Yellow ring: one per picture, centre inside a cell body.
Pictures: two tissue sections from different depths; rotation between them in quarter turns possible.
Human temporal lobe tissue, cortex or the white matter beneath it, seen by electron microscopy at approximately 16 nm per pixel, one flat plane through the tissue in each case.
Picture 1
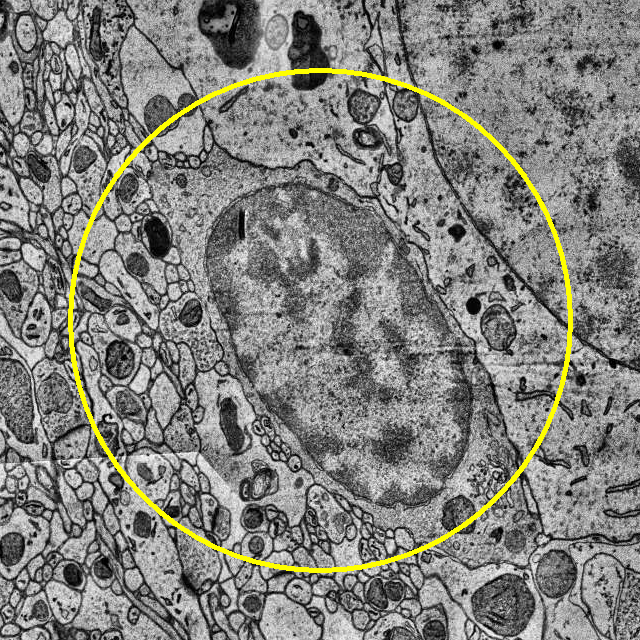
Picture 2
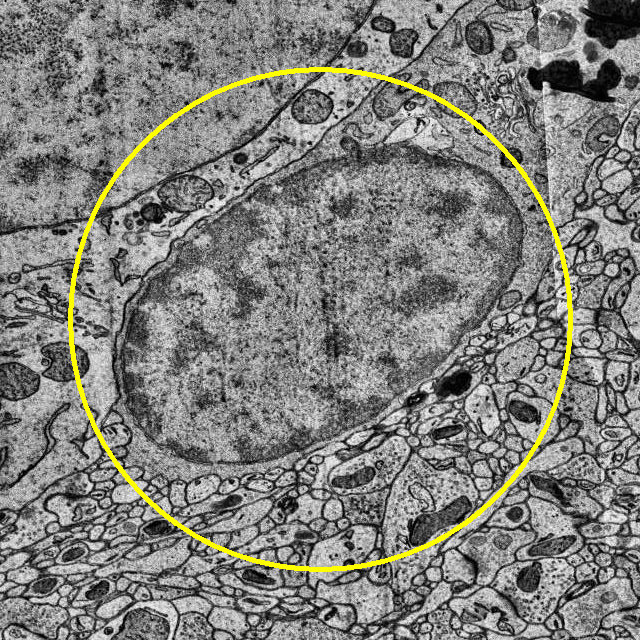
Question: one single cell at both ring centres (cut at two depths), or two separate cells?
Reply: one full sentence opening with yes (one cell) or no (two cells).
Yes, what the two rings mark is one cell.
